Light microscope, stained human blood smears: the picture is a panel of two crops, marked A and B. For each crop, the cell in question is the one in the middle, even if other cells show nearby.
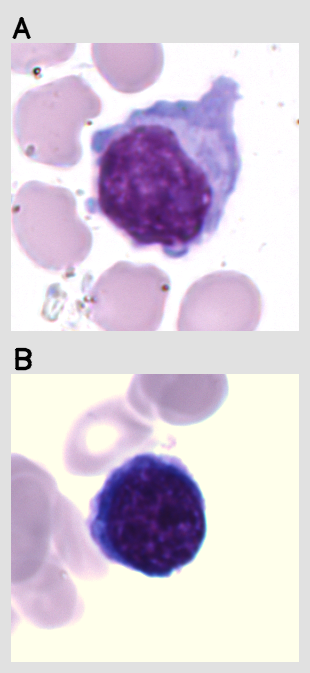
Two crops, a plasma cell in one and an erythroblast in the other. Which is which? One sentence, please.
Respectively, crops A and B show a plasma cell and an erythroblast.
